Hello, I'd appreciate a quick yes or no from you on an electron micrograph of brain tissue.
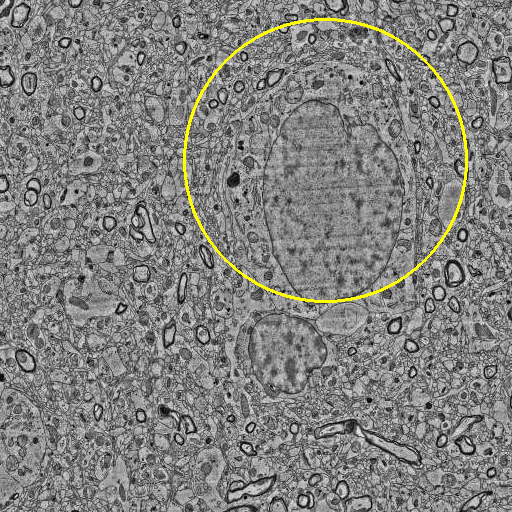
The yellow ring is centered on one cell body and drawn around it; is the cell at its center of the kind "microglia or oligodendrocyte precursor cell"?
no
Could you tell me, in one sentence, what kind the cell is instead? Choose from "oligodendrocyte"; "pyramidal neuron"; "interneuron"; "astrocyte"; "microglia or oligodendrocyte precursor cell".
Instead, the cell at the centre of the yellow ring is a pyramidal neuron.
